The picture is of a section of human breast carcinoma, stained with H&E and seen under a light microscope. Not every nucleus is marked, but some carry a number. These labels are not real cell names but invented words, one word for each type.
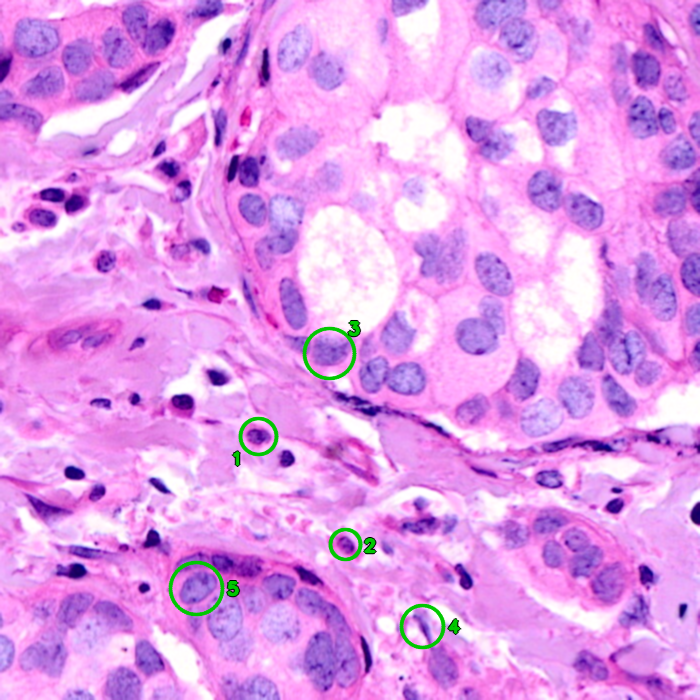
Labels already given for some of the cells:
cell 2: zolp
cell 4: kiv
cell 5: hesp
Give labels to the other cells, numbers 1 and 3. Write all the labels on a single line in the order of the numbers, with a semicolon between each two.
zolp; hesp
